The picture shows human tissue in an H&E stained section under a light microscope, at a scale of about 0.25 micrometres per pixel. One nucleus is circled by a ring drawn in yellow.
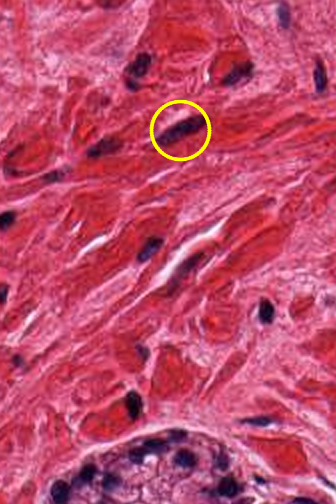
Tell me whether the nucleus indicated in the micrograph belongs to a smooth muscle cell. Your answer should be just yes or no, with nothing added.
yes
